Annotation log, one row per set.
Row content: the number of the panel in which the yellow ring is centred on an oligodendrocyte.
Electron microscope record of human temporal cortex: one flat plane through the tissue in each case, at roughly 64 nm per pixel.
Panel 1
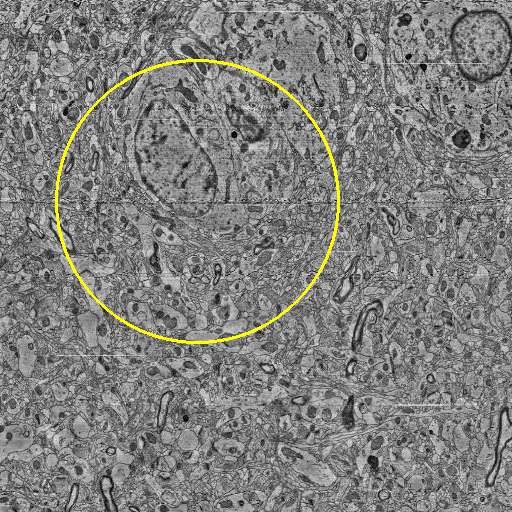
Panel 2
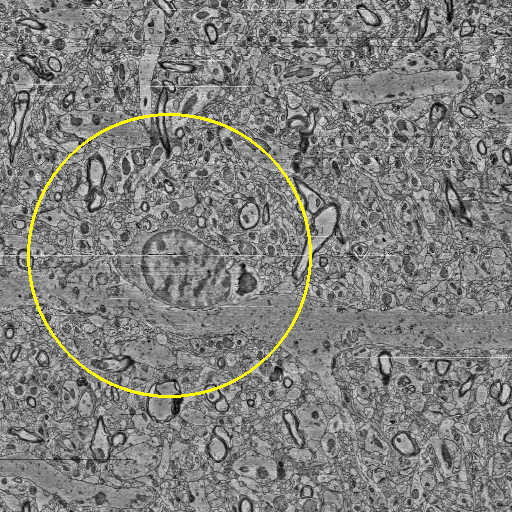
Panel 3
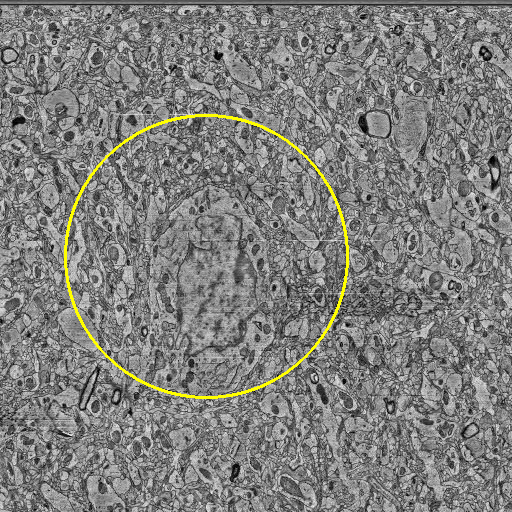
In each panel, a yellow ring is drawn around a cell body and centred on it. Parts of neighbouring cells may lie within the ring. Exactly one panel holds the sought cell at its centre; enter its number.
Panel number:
2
